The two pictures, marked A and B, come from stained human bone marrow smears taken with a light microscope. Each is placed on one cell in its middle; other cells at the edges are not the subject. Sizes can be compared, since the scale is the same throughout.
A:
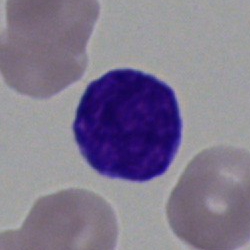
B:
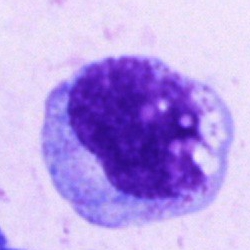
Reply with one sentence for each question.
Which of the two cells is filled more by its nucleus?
The nucleus fills more of the cell in crop A than in crop B.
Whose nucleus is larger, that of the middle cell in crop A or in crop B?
The nucleus in crop B is larger, with about 1.5 times the area of the one in crop A.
